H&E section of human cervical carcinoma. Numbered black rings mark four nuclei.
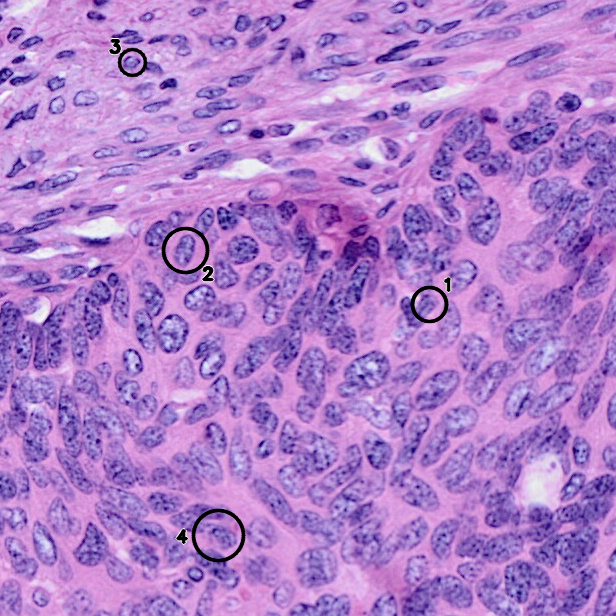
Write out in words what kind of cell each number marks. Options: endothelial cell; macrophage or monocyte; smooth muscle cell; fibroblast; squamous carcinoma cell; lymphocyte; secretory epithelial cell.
Cell 1 is a squamous carcinoma cell, cell 2 is a squamous carcinoma cell, cell 3 is a smooth muscle cell and cell 4 is a squamous carcinoma cell.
